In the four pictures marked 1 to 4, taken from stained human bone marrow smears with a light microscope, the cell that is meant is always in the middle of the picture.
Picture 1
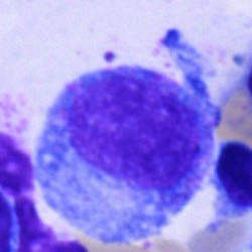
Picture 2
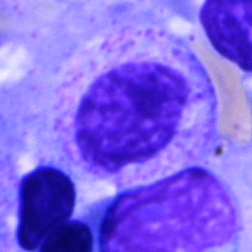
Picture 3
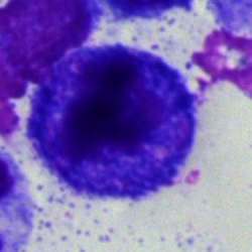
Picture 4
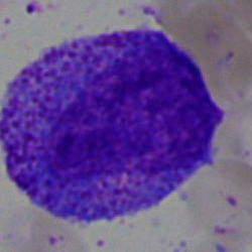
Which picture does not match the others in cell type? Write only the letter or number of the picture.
2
